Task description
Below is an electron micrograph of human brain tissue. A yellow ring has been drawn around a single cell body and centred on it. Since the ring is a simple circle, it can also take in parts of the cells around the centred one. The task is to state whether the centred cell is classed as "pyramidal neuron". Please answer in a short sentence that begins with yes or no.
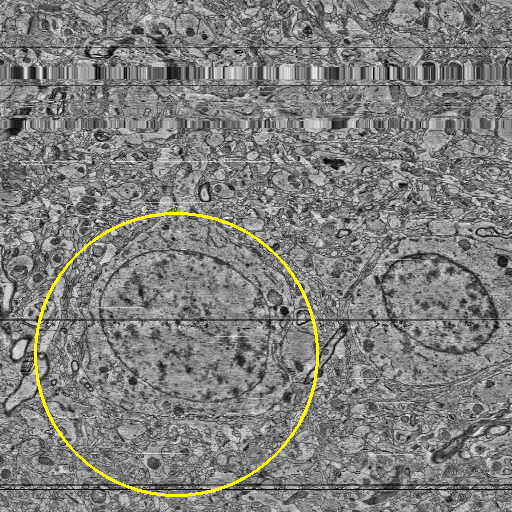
Yes, the centred cell is classed that way.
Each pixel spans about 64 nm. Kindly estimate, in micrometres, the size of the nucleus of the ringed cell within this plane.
In this plane, about 12 micrometres in length and 10 in width.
